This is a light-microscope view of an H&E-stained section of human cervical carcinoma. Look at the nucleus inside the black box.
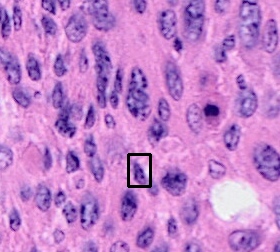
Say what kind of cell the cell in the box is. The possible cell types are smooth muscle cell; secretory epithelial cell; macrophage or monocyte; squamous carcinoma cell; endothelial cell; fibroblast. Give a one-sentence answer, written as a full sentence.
In the tissue under study, the cell in the box is a squamous carcinoma cell.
